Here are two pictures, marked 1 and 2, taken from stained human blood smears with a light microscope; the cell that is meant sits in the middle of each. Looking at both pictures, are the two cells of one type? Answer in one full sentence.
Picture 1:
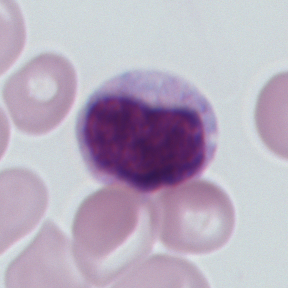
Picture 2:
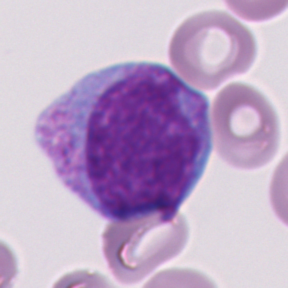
No; the cell in picture 1 is a metamyelocyte, while the one in picture 2 is an atypical promyelocyte.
